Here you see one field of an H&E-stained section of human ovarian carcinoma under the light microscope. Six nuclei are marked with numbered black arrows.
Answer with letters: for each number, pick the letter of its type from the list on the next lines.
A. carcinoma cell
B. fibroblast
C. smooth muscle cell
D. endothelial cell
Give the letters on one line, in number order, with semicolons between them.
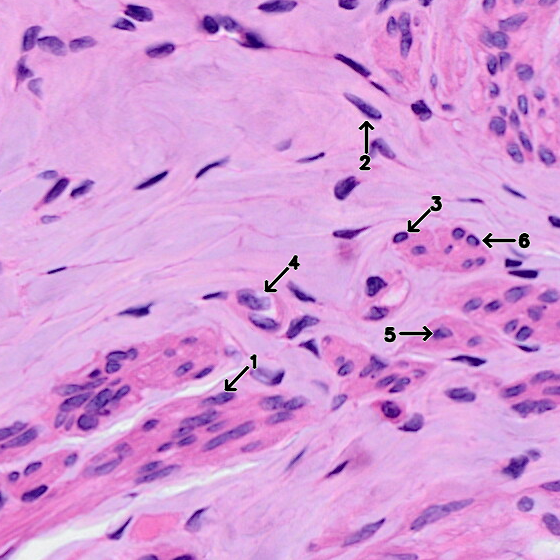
C; B; C; D; C; C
